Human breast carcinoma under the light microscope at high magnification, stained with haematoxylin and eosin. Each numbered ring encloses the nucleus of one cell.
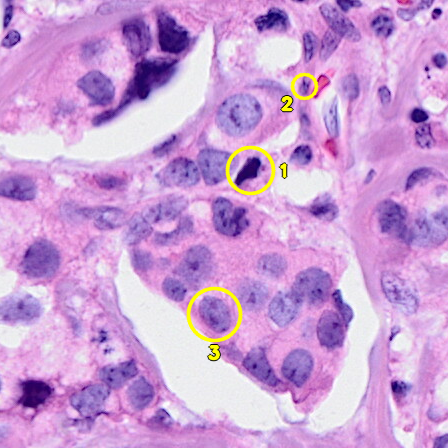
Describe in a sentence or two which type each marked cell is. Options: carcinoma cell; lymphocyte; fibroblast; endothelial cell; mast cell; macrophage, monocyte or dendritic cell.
Cell 1 is a carcinoma cell, cell 2 is an endothelial cell and cell 3 is a carcinoma cell.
